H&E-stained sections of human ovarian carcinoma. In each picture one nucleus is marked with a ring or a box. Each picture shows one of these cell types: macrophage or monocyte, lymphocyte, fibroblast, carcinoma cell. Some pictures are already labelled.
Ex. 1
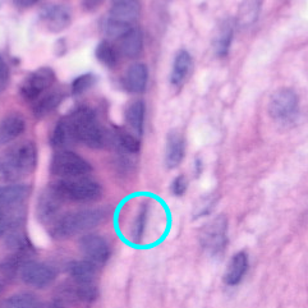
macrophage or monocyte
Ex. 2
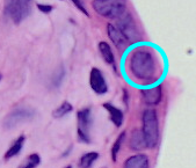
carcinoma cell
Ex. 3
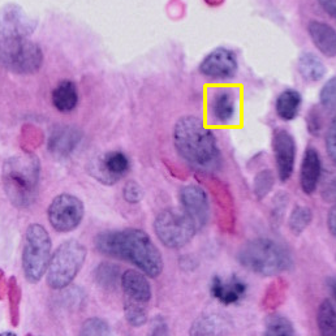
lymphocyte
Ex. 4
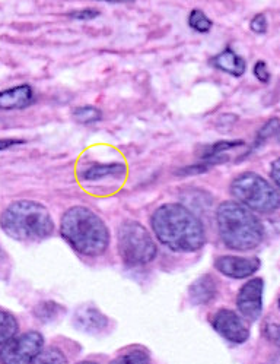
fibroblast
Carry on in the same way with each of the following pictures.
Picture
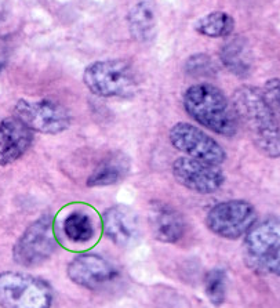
lymphocyte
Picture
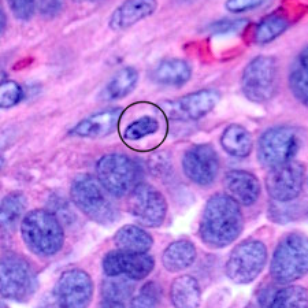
lymphocyte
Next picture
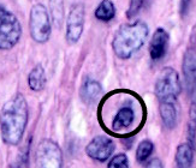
lymphocyte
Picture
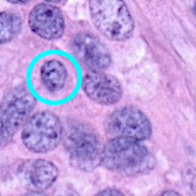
macrophage or monocyte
